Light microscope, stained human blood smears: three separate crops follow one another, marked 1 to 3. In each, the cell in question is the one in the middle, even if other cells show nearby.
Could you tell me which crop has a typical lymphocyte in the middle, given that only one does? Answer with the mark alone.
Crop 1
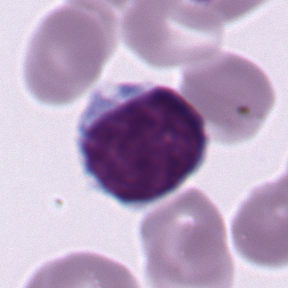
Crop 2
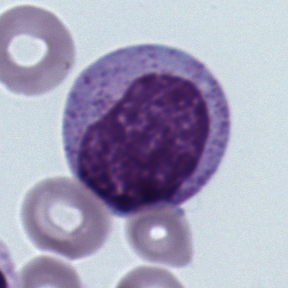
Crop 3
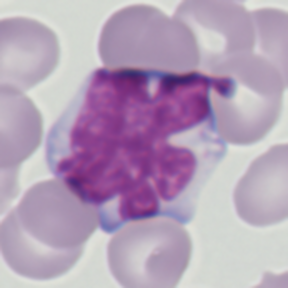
1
